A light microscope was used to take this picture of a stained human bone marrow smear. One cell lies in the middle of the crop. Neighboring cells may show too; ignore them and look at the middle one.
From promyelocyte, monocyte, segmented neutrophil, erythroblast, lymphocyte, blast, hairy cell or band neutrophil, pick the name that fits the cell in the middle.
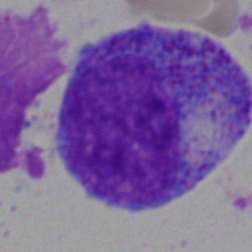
promyelocyte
